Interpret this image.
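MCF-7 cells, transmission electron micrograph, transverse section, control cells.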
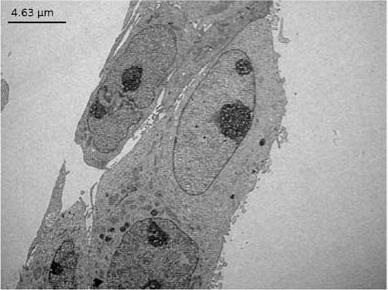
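Several elongated, closely apposed cells are seen in section, each with a large oval nucleus bounded by a smooth, continuous nuclear envelope. The nuclei have finely granular, evenly distributed chromatin and one or two large, dense, rounded nucleoli. The cytoplasm is moderately electron-dense and contains scattered small dark granules and rounded organelles. The cell surfaces are continuous, with small projections along some edges.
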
